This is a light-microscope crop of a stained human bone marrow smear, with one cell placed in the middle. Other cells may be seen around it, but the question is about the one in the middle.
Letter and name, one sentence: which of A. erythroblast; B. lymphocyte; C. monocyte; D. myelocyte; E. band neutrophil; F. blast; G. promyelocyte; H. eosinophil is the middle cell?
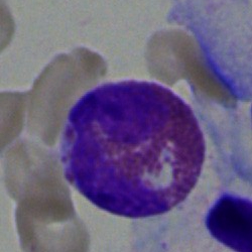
In the centre of the crop there is an eosinophil, making option H correct.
